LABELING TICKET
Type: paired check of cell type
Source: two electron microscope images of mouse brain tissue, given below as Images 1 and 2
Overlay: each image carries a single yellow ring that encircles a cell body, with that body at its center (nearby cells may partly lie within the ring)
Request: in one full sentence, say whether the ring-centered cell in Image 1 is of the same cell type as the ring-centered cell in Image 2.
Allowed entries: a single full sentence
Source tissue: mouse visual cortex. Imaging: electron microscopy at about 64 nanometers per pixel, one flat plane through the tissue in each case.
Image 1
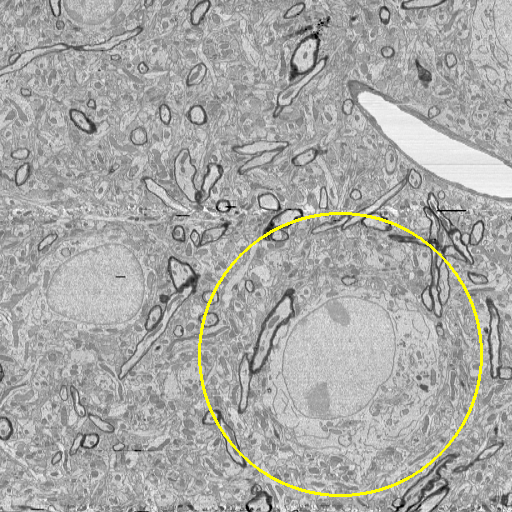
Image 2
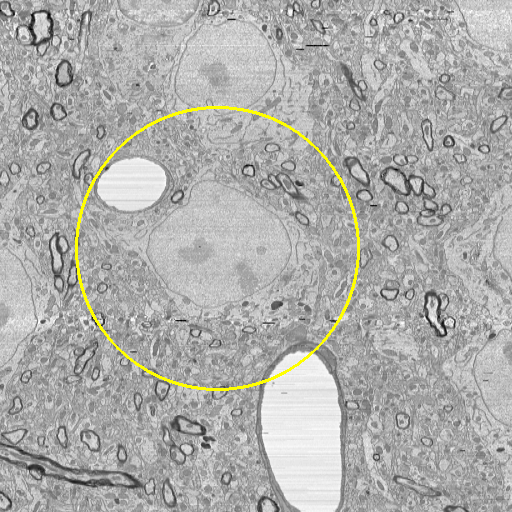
Yes, the cells centered in the rings of Image 1 and Image 2 share one type.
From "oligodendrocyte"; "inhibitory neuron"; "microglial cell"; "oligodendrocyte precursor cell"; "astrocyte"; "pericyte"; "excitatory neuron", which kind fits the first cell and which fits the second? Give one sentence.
Both cells are the same kind, each one being an excitatory neuron.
